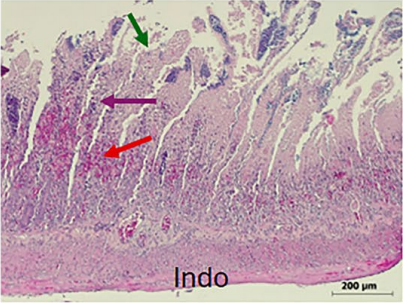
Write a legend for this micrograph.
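The villus tips are ragged and broken, with the surface epithelium lost and detached debris lying in the lumen. Lower in the mucosa there are patches of intense red where vessels are congested with blood. The lamina propria between the villi is crowded with small dark-staining inflammatory cells.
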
